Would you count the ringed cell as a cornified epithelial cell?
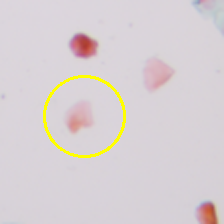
Yes, I would count it as a cornified epithelial cell.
